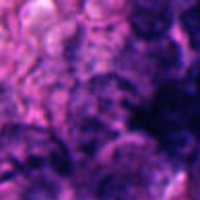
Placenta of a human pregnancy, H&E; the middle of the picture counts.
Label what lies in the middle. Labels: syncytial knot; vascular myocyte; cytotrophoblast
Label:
cytotrophoblast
